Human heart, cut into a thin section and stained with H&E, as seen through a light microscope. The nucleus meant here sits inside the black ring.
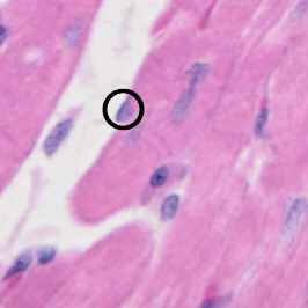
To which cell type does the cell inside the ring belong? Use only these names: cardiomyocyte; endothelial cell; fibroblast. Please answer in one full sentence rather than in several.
The identity of the cell inside the ring is that of a fibroblast.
